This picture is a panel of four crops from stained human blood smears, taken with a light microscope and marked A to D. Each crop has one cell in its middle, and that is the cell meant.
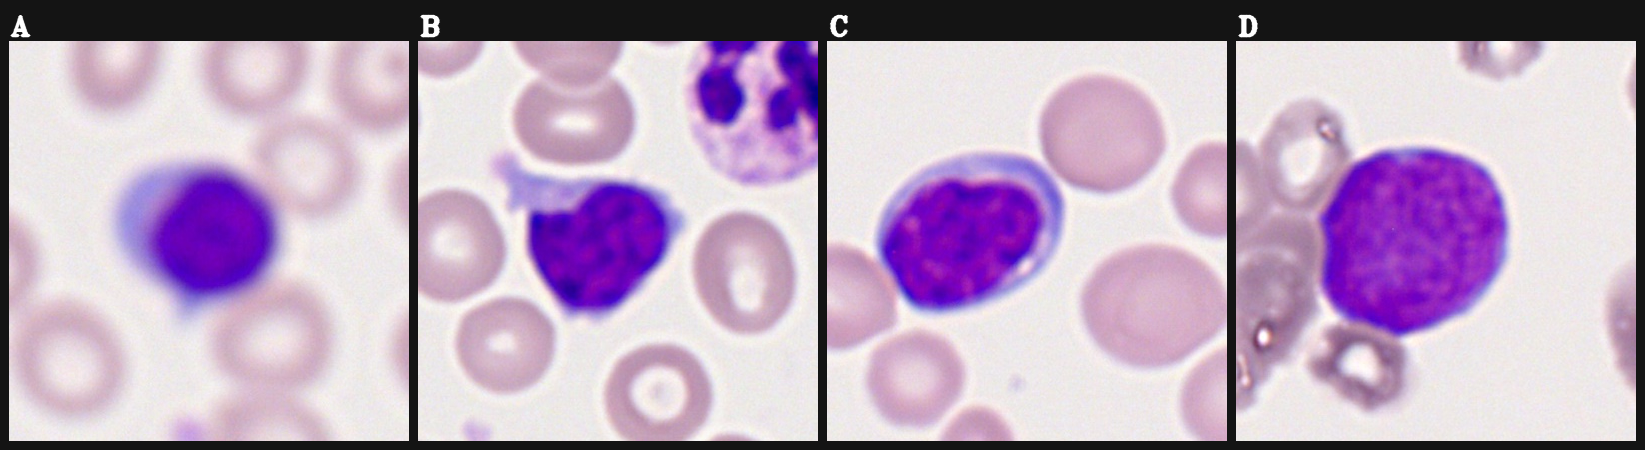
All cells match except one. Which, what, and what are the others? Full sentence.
The remaining crops are all lymphocytes, so crop D, being a myeloblast, is the exception.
